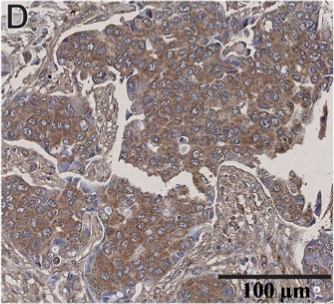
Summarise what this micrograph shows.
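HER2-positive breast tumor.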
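Broad sheets of large polygonal cancer cells with brown-stained cytoplasm occupy the field. Their nuclei are round, fairly uniform and pale blue, set centrally in abundant cytoplasm. Thin strands of fibrous stroma with slender spindle cells separate the sheets, and clear spaces appear where tissue has parted.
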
